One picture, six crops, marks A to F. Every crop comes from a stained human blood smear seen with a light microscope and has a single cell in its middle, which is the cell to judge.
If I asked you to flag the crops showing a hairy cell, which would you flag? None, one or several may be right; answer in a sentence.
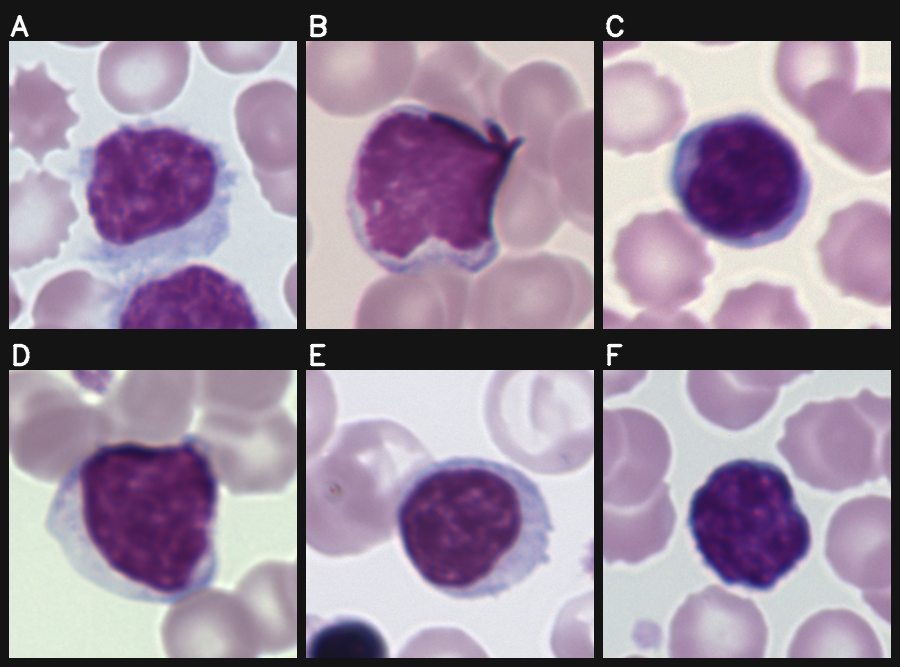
Within the set, crop A is the single crop showing a hairy cell.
